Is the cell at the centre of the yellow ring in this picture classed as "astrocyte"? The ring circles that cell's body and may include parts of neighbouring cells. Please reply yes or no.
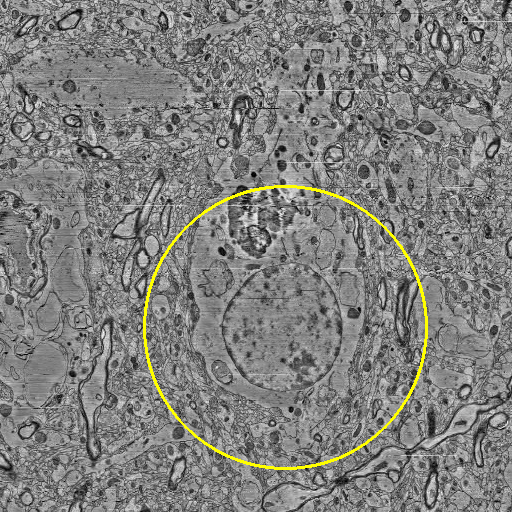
Yes, it is of that kind.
